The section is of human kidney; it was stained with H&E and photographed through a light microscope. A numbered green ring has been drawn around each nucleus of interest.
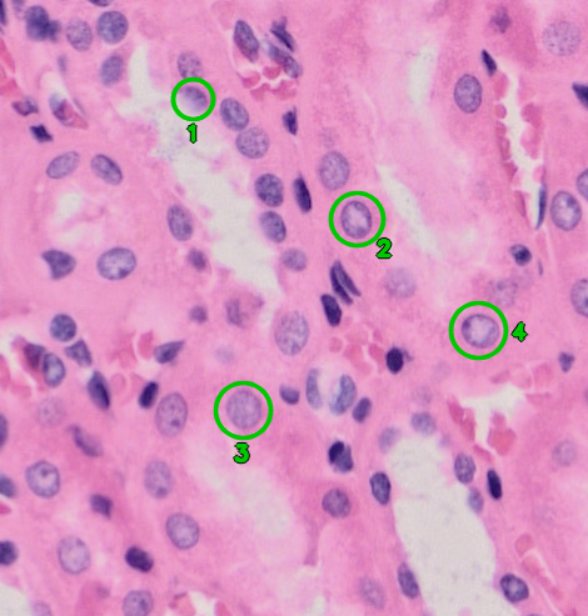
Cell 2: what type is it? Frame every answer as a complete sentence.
The marked nucleus 2 is that of a proximal tubule cell.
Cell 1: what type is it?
Classified as a loop of Henle or distal tubule cell is the cell with the number 1.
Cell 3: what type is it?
The cell indicated by marker 3 is a proximal tubule cell in this section.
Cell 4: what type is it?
In the marked set, the cell given number 4 is a proximal tubule cell.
